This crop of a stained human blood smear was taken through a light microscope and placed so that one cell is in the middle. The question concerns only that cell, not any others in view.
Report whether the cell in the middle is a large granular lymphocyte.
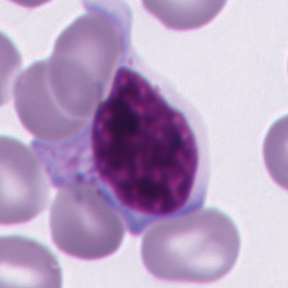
yes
